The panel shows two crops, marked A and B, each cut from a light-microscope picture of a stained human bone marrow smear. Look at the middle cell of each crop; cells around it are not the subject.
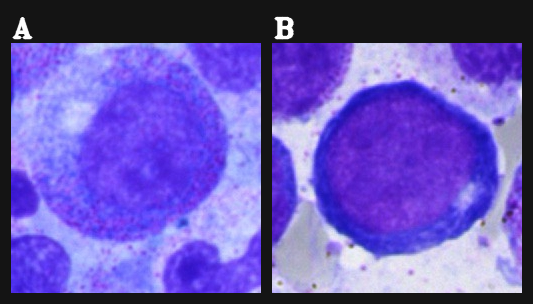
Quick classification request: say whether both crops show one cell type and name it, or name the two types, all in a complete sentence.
No, crop A depicts a promyelocyte; crop B depicts a proerythroblast.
